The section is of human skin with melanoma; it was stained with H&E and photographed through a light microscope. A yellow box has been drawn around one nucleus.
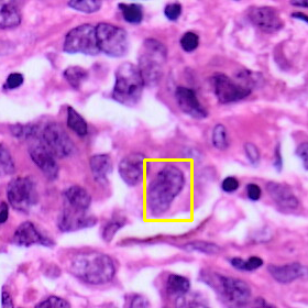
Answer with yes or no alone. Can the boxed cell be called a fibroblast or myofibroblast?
no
